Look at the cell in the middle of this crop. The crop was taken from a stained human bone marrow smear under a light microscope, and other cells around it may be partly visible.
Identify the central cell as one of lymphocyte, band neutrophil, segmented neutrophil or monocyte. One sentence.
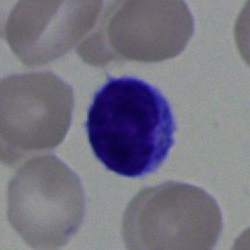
Classified as a lymphocyte is the cell in the middle of this crop.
